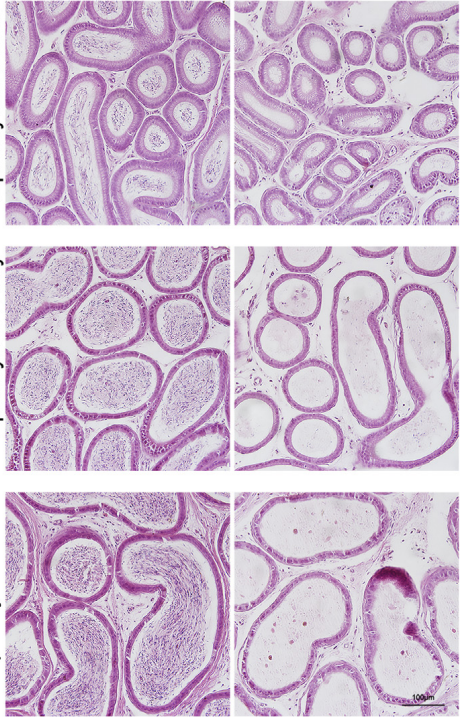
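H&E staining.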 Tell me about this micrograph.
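Sections of the epididymis show a coiled duct cut into many round and elongated profiles lined by a tall columnar epithelium with a smooth inner border, set in loose connective tissue. In the left column the lumens are filled with dense masses of fine, thread-like sperm, arranged in parallel streams in the lower ducts. In the right column the lumens are largely empty, holding only sparse pale pink material and scattered small round bodies. The upper right ducts are smaller in cross-section than those beside them on the left. The epithelium appears as a continuous purple band around each profile in both columns.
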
